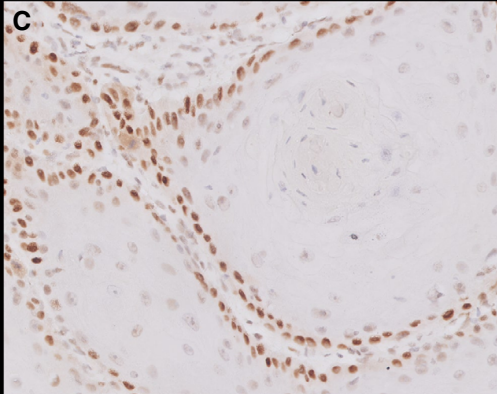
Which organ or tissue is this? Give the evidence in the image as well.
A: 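Squamous cell carcinoma. Nests of large polygonal epithelial cells with abundant pale cytoplasm. A concentric whorl of keratin sits in the centre of a nest. Thin strands of stroma separate the nests.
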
